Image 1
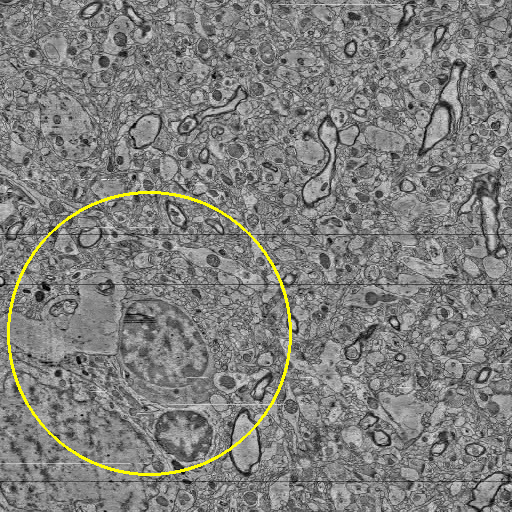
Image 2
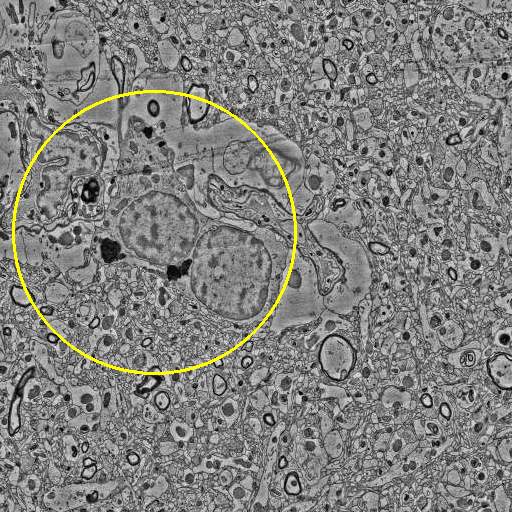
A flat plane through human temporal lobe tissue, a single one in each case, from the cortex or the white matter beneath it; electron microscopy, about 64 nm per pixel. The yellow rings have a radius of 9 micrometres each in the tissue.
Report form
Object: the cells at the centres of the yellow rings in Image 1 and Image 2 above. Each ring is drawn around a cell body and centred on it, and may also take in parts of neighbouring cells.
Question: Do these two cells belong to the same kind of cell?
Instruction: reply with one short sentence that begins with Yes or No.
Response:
Yes, both belong to the same kind of cell.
